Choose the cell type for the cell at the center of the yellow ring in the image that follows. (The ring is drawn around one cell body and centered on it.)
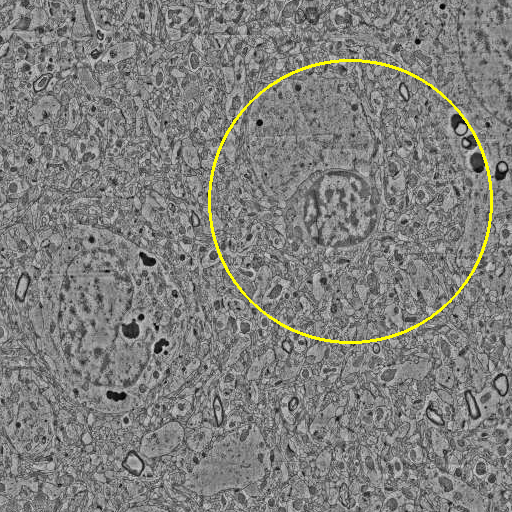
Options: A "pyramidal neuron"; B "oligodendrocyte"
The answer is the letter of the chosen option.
B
